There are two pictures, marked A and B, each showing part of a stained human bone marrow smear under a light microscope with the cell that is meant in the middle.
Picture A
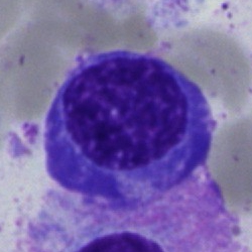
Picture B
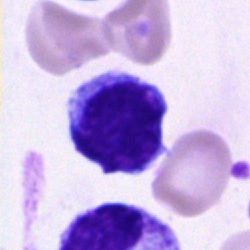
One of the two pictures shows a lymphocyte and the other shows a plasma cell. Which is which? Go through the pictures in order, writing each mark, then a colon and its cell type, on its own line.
A: plasma cell
B: lymphocyte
